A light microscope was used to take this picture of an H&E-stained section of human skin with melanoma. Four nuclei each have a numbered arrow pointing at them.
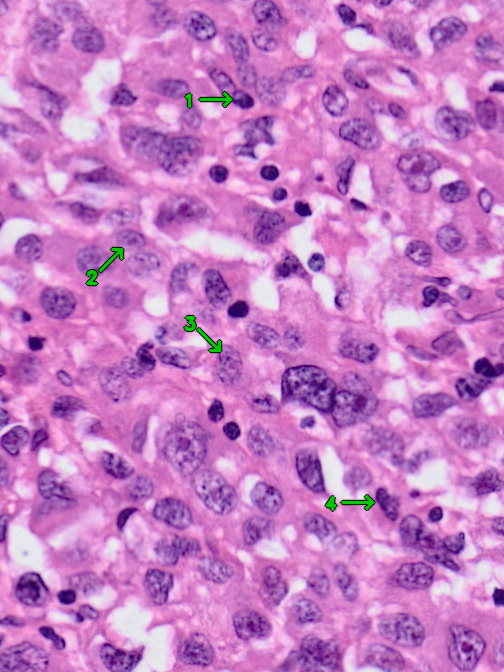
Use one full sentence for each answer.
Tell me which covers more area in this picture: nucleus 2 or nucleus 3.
Nucleus 3 covers more area, about 1.5 times as much as nucleus 2.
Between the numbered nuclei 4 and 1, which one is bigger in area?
Nucleus 4 covers more area, about 1.5 times as much as nucleus 1.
